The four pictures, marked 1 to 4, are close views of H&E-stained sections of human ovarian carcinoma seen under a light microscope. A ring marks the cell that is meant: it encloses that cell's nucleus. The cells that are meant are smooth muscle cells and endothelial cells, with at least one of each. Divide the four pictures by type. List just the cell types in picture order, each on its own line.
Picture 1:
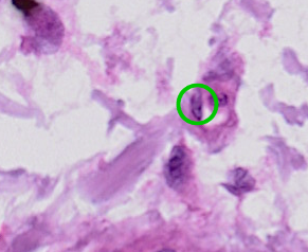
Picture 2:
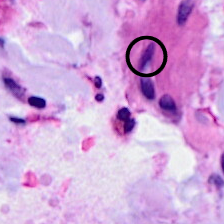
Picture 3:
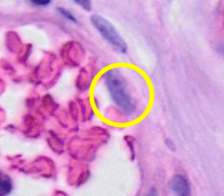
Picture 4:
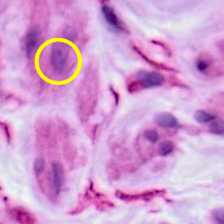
endothelial cell
smooth muscle cell
endothelial cell
smooth muscle cell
